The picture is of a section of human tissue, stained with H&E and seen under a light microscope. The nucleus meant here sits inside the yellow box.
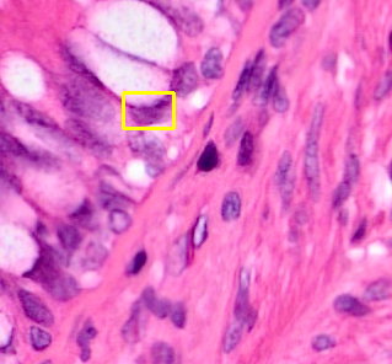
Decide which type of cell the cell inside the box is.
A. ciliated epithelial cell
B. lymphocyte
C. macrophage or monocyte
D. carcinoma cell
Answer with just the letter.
A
